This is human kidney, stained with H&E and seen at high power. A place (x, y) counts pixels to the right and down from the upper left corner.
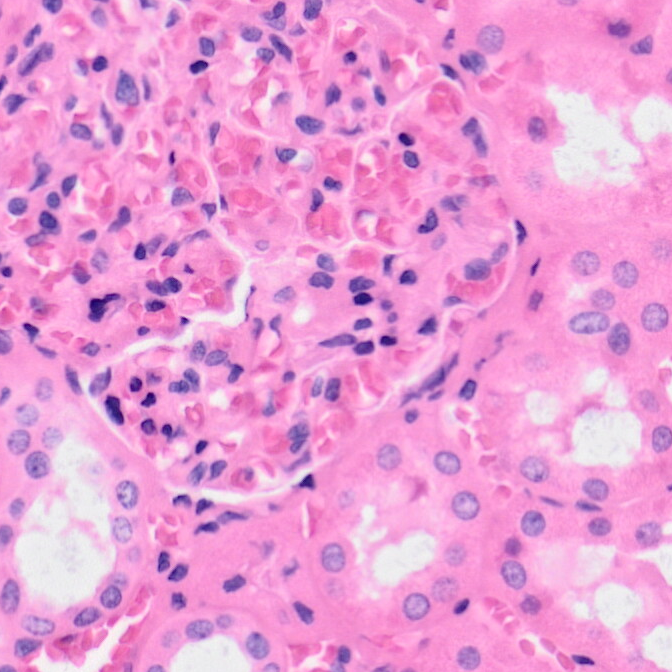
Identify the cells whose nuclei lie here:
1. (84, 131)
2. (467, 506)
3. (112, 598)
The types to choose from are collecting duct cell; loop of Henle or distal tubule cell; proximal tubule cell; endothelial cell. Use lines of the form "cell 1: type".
cell 1: endothelial cell
cell 2: proximal tubule cell
cell 3: collecting duct cell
